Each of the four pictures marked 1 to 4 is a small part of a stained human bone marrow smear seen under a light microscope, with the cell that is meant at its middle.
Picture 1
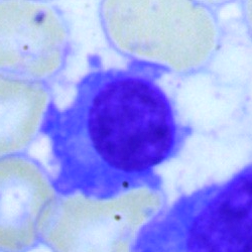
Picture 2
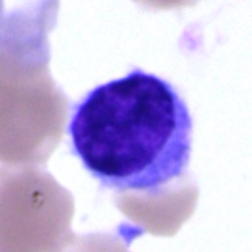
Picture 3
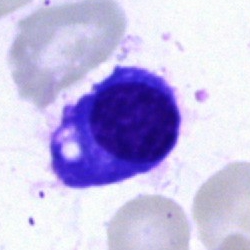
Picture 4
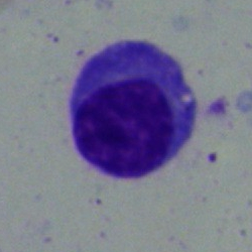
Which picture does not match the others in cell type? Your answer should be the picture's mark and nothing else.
2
